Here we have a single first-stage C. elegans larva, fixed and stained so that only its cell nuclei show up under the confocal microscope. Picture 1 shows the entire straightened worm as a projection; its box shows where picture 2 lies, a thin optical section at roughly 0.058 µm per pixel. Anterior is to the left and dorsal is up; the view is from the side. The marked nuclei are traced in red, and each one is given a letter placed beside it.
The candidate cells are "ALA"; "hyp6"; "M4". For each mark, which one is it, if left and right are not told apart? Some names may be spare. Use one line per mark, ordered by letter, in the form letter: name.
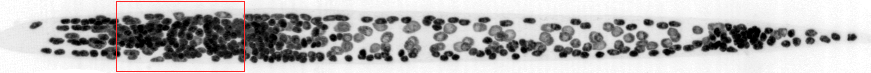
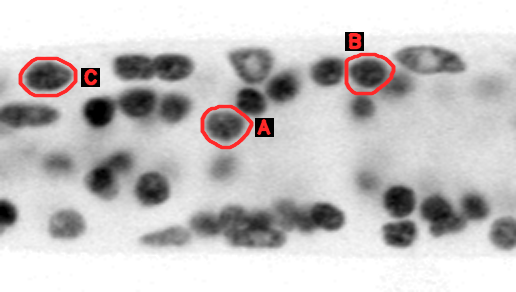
A: M4
B: ALA
C: hyp6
